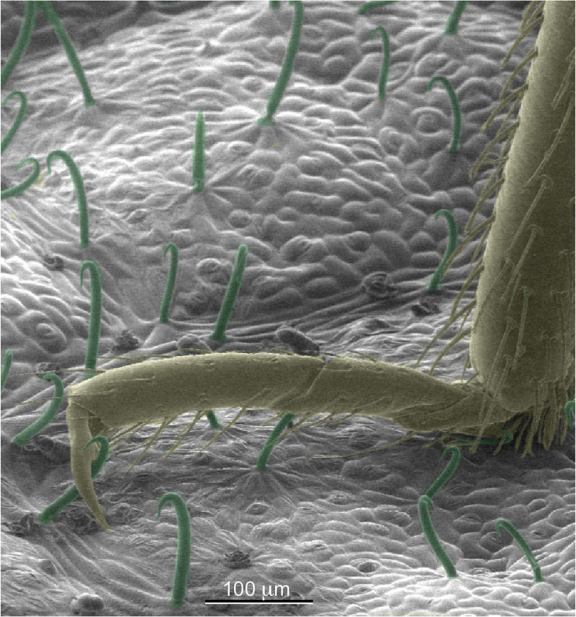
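A jointed insect leg, coloured brown, rests on a leaf surface whose epidermis shows a cobbled pattern of small bulging cells. The thick upright segment at the right margin is the tibia, and the slender tarsus runs leftward roughly parallel to the leaf and ends in curved pretarsal claws. Green-coloured trichomes rise from the leaf, many of them hooked at the tip, and some stand close to the leg.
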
